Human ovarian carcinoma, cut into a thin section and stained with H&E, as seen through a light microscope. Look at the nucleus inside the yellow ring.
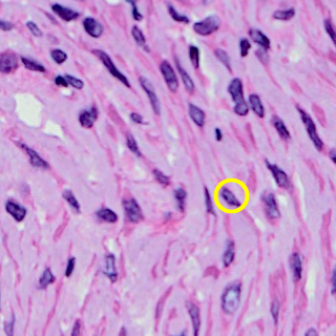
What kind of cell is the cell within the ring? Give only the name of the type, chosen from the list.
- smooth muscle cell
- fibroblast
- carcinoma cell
fibroblast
